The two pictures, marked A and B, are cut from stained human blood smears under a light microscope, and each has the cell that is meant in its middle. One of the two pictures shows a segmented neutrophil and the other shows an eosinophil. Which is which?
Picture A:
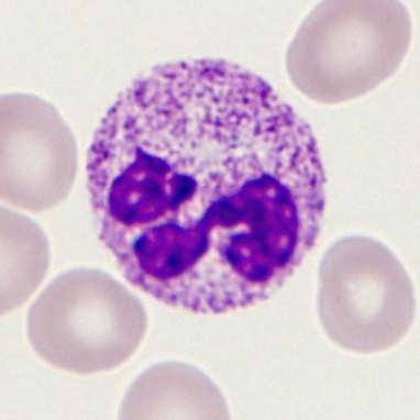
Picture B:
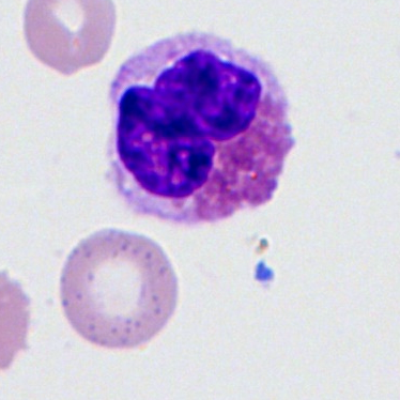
A: segmented neutrophil
B: eosinophil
